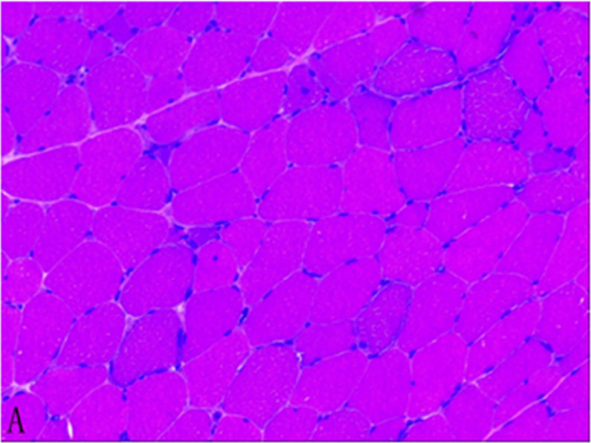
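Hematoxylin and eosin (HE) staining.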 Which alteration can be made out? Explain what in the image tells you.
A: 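The polygonal fibers in cross-section vary clearly in diameter. Some fibers are small and angular beside larger ones. That points to this answer: different muscle fiber sizes.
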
